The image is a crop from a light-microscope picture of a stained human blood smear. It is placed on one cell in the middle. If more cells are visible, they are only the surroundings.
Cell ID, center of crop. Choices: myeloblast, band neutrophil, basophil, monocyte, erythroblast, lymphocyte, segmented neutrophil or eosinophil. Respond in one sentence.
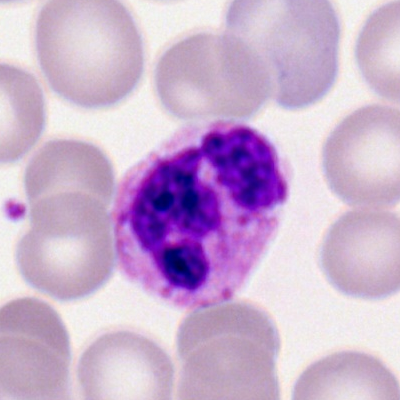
The center cell of this crop is a basophil.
